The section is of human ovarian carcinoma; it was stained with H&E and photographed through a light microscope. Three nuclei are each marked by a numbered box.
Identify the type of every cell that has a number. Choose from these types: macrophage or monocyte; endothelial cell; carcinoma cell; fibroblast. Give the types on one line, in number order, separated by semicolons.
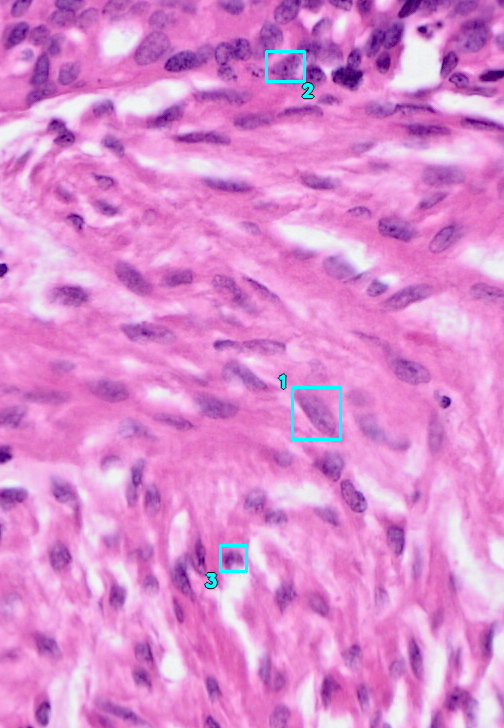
fibroblast; carcinoma cell; fibroblast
